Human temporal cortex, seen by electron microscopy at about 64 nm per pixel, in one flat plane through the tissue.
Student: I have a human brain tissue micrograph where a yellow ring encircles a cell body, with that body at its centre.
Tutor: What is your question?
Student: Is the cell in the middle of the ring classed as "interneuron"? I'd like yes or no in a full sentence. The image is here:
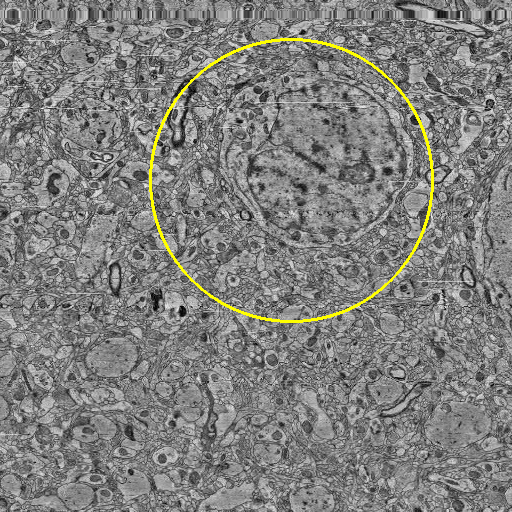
Yes, the cell in the middle of the ring is classed as that kind.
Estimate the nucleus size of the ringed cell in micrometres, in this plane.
The nucleus is about 10 micrometres across in this plane.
